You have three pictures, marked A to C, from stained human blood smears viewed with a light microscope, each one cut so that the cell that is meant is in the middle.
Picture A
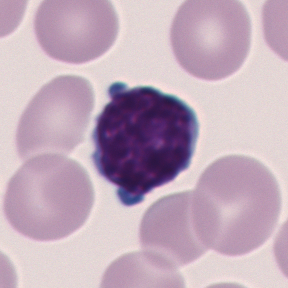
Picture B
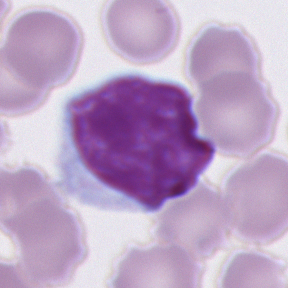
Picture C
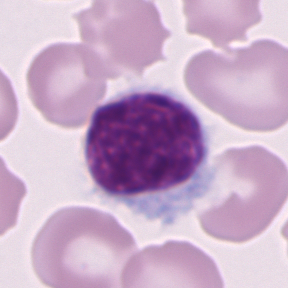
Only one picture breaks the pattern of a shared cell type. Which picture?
C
